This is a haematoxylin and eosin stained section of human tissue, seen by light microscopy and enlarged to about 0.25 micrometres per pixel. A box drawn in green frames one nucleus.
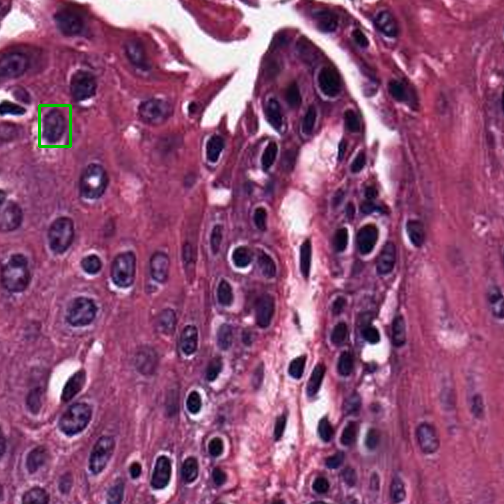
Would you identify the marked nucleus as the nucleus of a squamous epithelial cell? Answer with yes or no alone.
yes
